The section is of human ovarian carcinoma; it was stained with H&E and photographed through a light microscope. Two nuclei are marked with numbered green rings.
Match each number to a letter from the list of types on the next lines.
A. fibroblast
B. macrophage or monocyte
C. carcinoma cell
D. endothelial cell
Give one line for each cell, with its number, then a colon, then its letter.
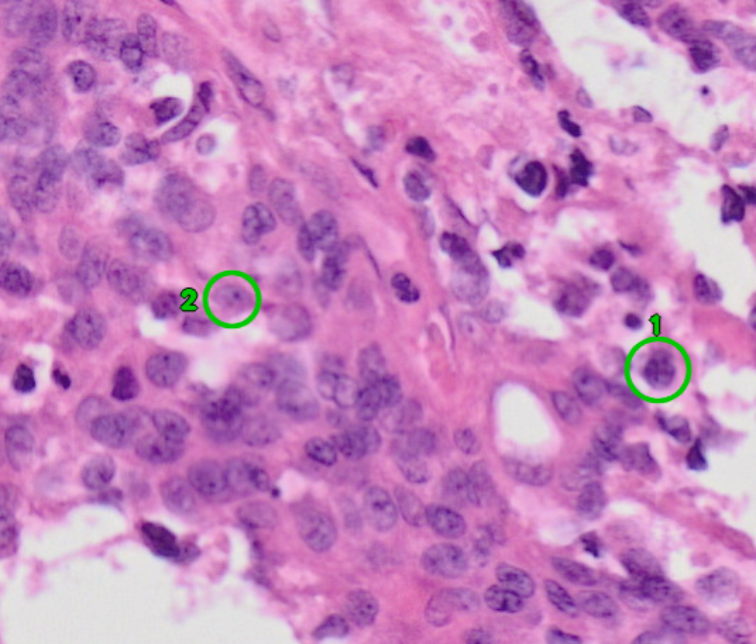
1: C
2: B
